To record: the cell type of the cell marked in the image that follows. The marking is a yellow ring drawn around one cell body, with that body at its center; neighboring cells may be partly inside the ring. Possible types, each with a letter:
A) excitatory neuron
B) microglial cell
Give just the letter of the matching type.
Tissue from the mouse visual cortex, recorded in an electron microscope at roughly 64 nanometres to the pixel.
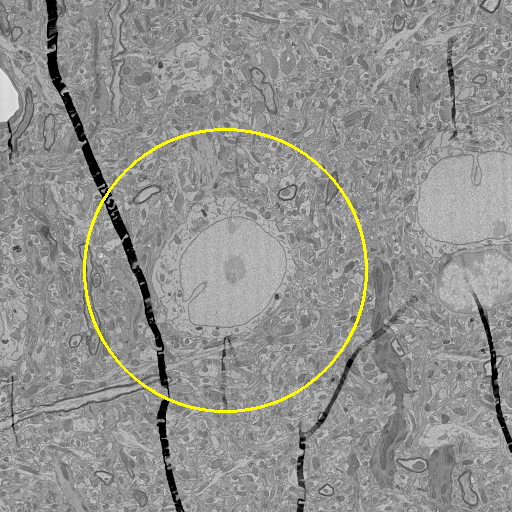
A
